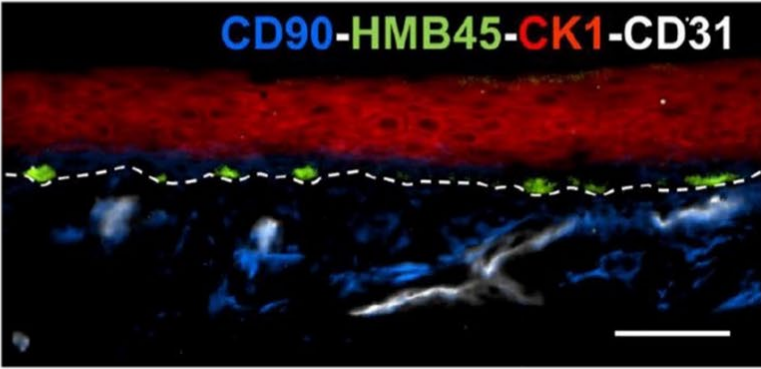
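Small, irregular green melanocytes sit singly at intervals along the dashed border. Beneath it, blue fibroblasts appear as scattered elongated streaks, and white endothelial cells form elongated, branching tubular vessels in the dermis.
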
